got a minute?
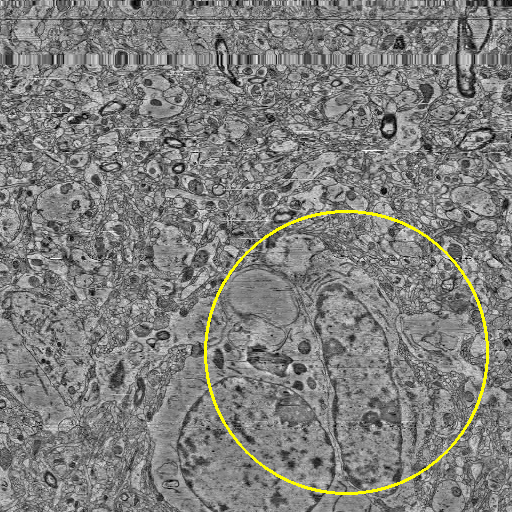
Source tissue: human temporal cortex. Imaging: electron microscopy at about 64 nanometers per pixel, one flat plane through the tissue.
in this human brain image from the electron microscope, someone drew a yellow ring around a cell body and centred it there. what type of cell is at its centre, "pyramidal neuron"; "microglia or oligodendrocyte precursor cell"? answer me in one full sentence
It's a microglial cell or oligodendrocyte precursor cell at the middle of that yellow ring in the shot.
